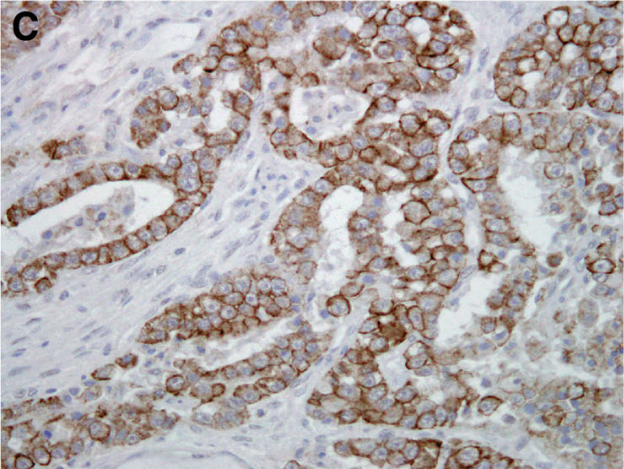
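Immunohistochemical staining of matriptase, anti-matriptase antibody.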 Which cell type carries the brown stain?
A: Cancer cells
